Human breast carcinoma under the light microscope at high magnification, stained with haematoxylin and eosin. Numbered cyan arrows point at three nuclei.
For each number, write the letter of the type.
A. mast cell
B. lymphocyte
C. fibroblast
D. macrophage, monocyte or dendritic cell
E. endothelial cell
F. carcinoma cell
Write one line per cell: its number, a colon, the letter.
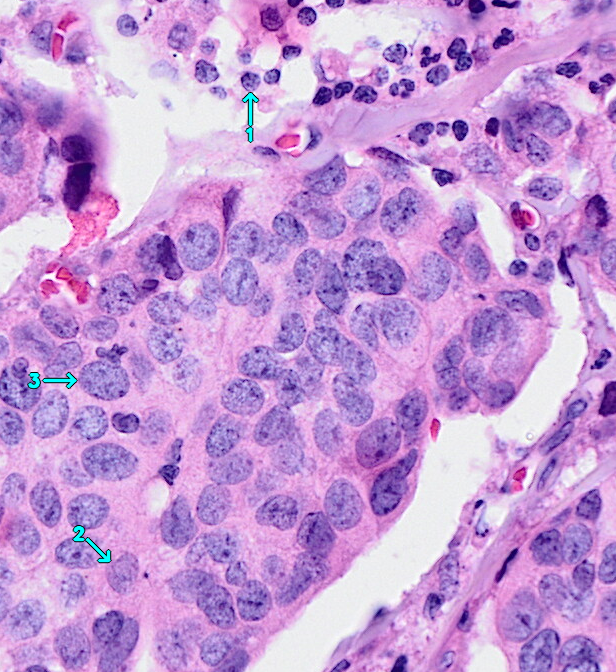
1: B
2: F
3: F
